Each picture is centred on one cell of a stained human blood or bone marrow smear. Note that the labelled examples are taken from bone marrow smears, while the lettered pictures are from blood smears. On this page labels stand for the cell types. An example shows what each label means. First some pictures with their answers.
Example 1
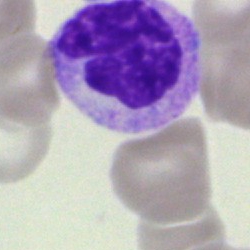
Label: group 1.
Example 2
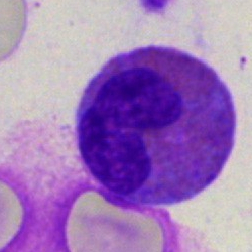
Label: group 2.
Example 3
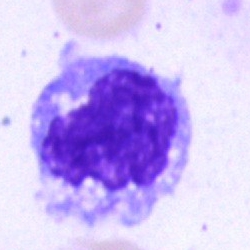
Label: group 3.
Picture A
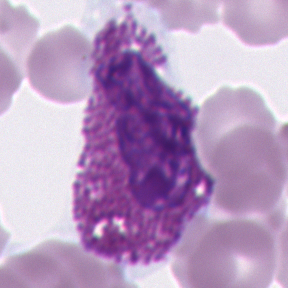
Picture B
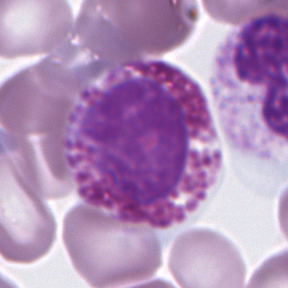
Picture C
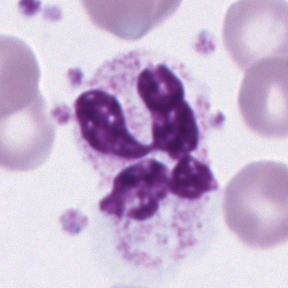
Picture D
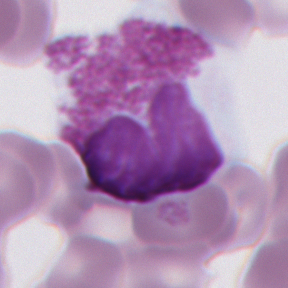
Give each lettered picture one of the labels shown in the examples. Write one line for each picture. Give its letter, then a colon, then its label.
A: group 2.
B: group 2.
C: group 1.
D: group 2.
